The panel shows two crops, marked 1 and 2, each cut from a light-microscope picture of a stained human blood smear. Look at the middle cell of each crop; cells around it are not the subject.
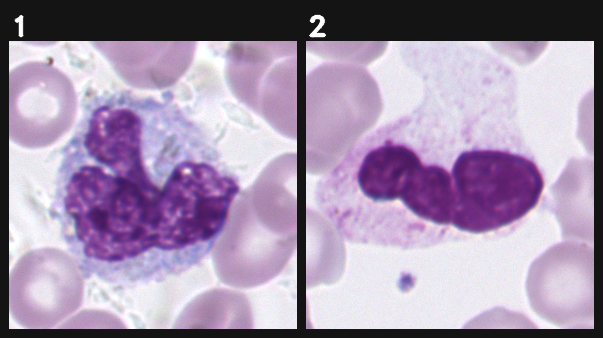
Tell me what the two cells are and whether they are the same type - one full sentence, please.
No, the assignment should read crop 1, a monocyte; crop 2, a neutrophil.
